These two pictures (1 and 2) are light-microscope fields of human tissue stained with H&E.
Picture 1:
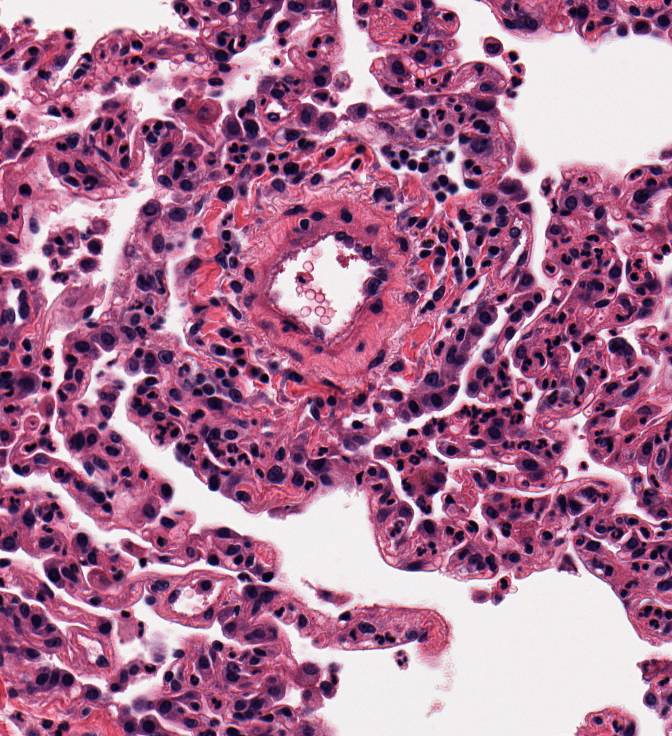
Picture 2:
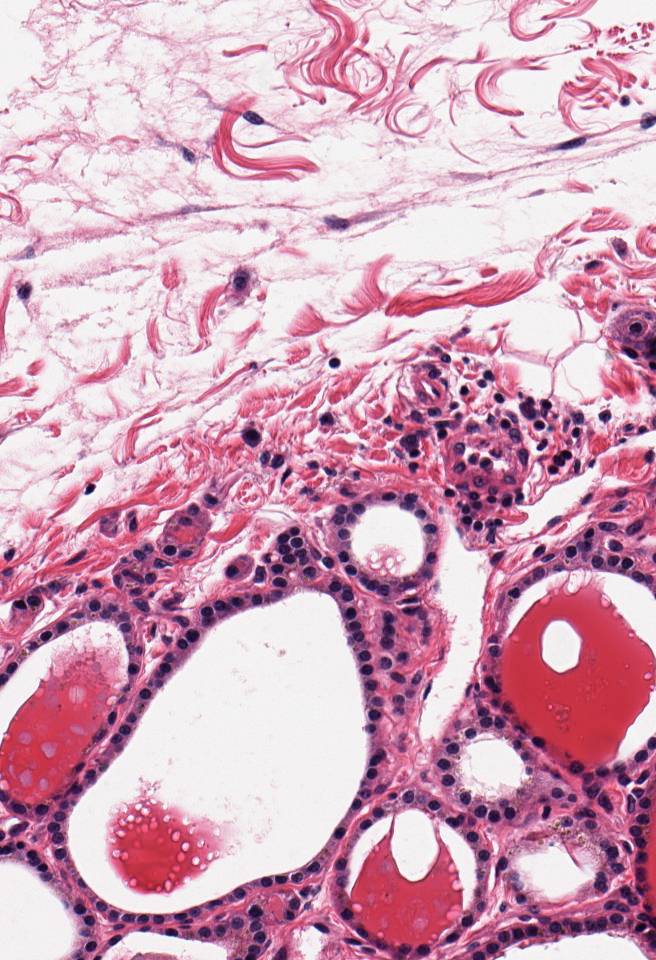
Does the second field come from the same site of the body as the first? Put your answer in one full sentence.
No. Picture 1 comes from the lung, whereas picture 2 comes from the thyroid.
